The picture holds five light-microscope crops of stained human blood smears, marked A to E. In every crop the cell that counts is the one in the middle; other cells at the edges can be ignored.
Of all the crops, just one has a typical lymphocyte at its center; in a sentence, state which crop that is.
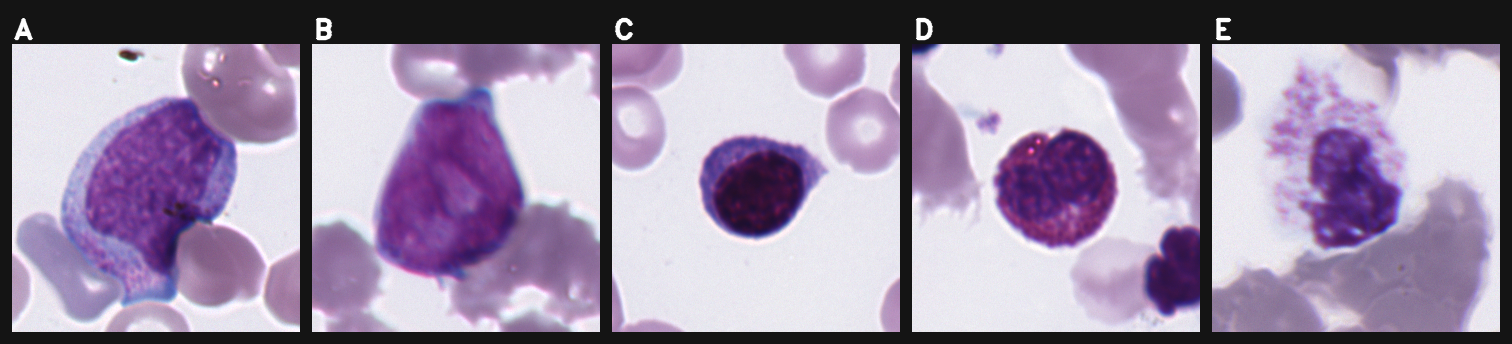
Among the crops, only crop C contains a typical lymphocyte.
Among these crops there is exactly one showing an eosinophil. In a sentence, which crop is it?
Crop D shows an eosinophil, and no other crop does.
